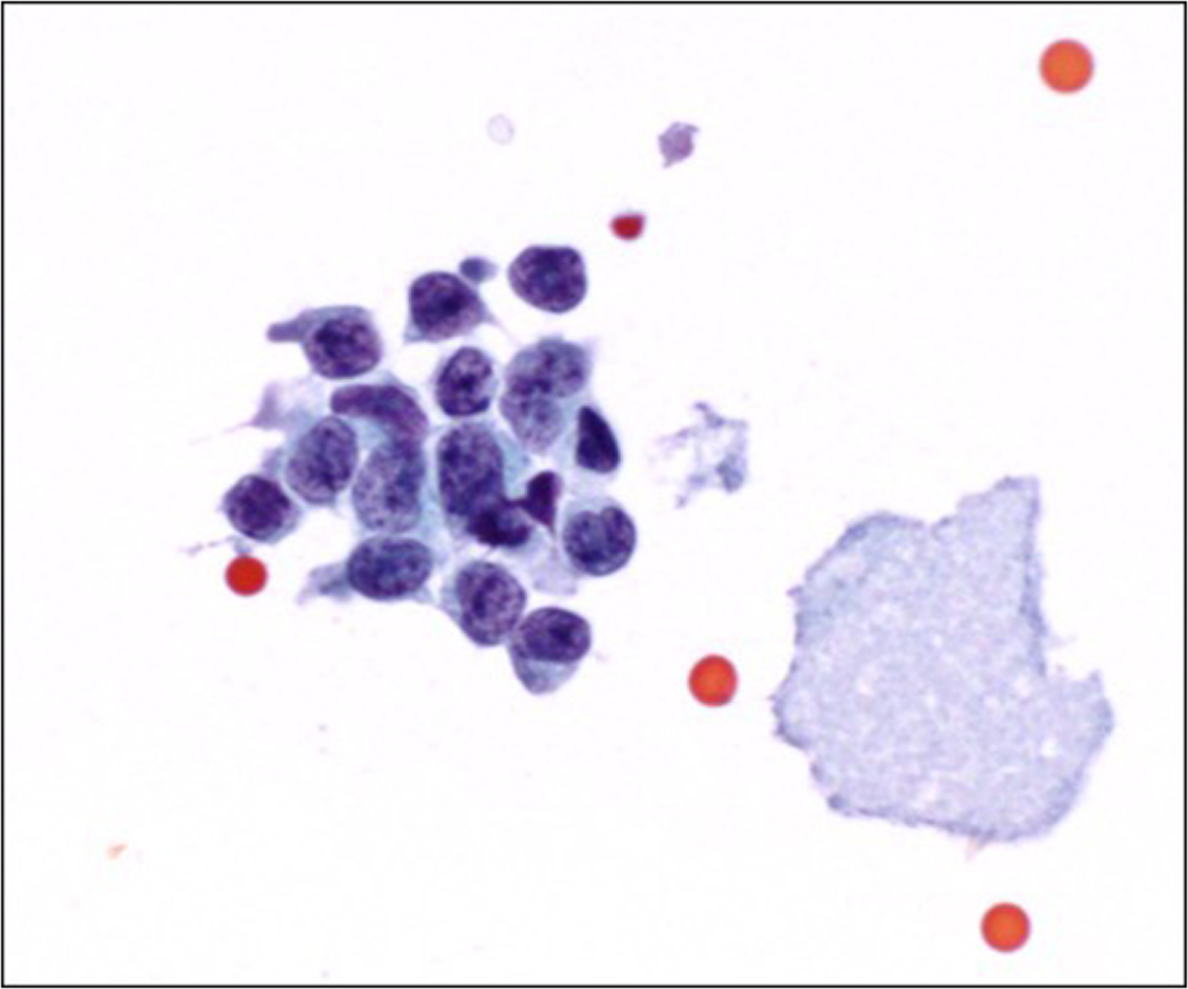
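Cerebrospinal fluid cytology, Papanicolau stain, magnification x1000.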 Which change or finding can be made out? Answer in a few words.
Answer: hyperchromatic nuclei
